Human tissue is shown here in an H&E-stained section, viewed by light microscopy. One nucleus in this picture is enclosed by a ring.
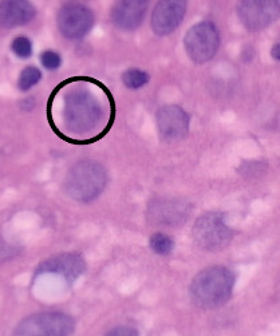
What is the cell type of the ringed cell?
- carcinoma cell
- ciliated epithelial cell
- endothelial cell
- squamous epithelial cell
squamous epithelial cell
